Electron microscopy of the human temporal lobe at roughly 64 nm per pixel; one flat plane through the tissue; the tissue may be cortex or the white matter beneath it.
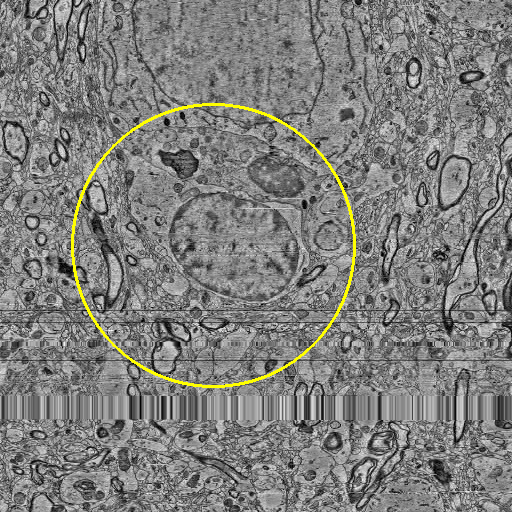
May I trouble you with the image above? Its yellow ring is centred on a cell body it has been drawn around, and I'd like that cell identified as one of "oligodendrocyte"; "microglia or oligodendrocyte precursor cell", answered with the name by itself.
microglia or oligodendrocyte precursor cell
